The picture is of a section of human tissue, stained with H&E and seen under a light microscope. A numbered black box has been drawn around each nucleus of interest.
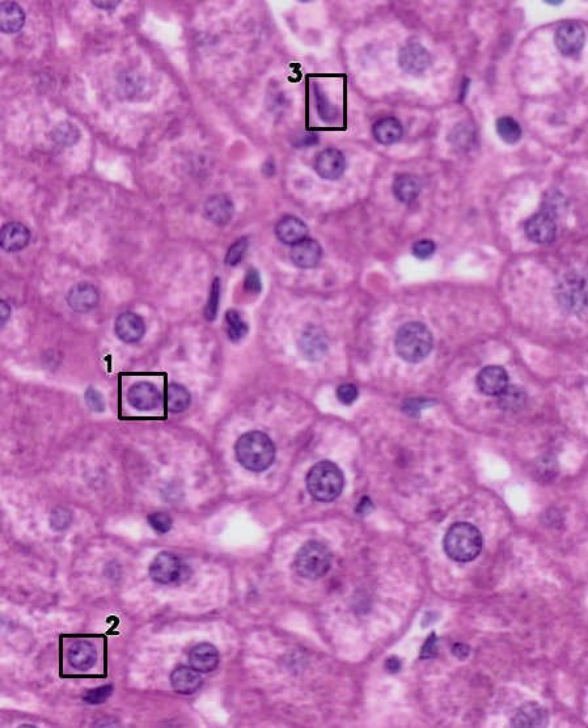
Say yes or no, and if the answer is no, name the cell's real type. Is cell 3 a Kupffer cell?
Yes.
